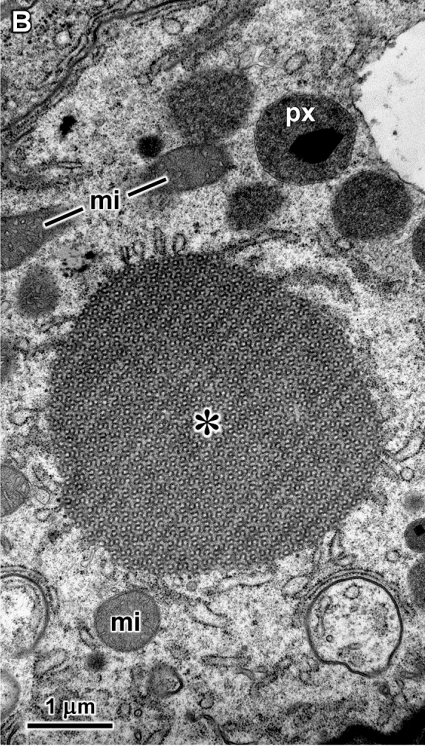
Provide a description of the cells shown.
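A big rounded mass occupies the centre of the field, made of countless tiny rings packed in a regular lattice that gives it a fine dotted texture. Around it lies granular cytoplasm with short membrane profiles at its margin. Mitochondria, smaller dense oval bodies, lie nearby, and rounded dense peroxisomes, one with a dark crystalline core, sit toward the top. The tubule mass dwarfs these organelles.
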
